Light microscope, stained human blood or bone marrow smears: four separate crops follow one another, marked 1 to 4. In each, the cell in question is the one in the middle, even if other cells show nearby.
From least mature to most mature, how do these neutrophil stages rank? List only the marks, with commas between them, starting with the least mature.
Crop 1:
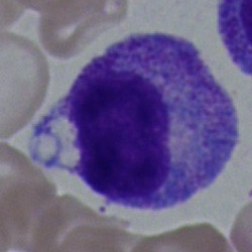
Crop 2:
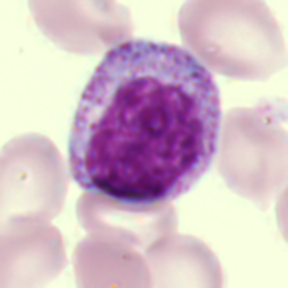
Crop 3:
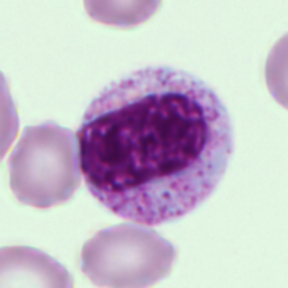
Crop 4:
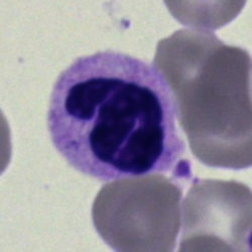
1, 2, 3, 4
